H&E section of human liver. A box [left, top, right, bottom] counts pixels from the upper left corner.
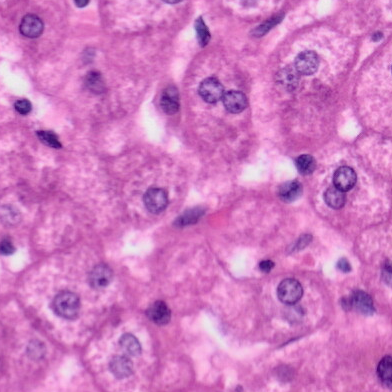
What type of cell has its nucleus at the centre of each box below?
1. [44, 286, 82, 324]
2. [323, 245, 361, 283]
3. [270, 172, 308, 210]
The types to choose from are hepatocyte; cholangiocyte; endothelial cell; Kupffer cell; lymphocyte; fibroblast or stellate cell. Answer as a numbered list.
1. hepatocyte
2. lymphocyte
3. endothelial cell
